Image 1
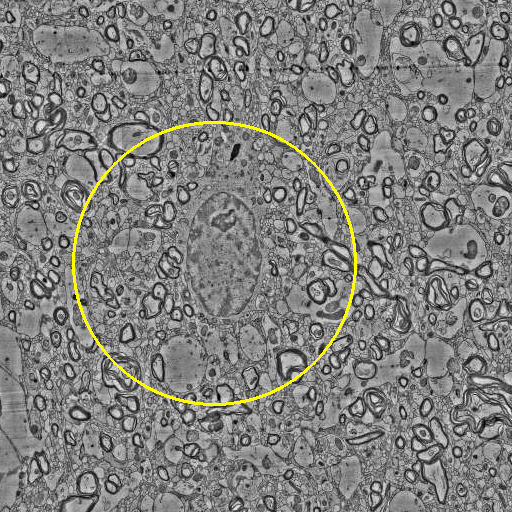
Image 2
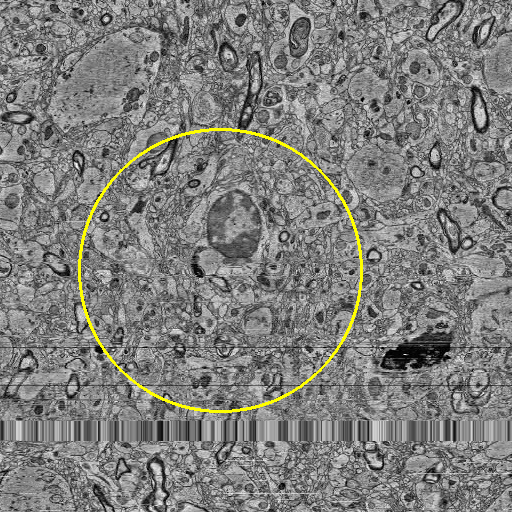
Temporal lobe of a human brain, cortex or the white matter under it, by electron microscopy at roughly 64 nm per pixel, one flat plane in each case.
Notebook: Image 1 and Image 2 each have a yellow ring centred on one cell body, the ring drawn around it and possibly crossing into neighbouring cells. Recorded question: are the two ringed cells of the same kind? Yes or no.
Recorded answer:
no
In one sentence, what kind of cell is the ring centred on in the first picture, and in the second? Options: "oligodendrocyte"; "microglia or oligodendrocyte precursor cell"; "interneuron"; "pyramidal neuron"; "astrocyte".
The cell at the centre of the second ring is a microglial cell or oligodendrocyte precursor cell; the first ring's cell is an oligodendrocyte.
